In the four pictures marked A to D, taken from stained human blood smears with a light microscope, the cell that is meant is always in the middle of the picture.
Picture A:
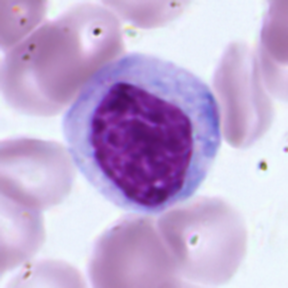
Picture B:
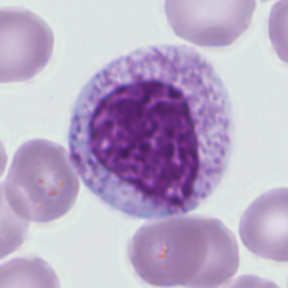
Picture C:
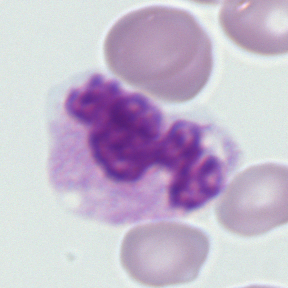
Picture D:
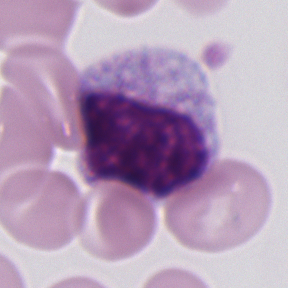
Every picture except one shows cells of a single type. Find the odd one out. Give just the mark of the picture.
C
